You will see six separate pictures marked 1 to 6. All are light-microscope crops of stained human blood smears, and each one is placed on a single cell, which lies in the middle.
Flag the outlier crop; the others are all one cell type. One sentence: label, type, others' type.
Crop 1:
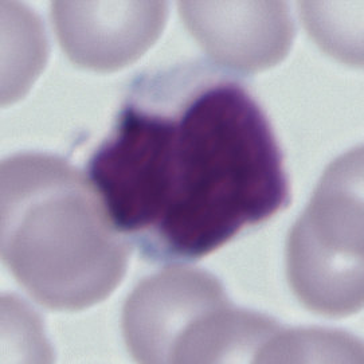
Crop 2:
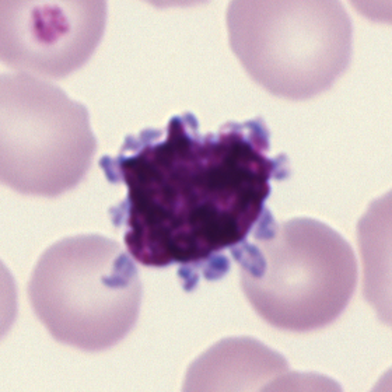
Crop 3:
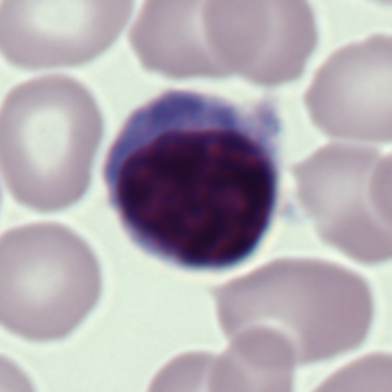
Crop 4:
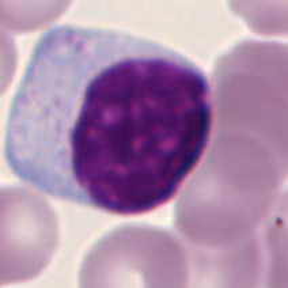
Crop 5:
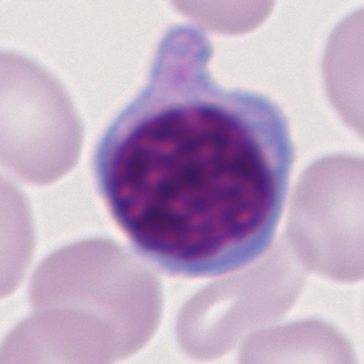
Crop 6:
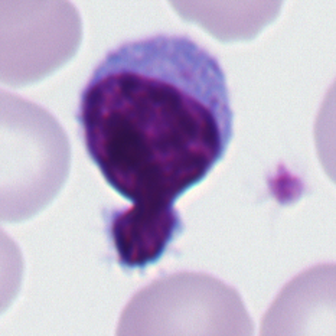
The single exception is crop 4, which is a large granular lymphocyte; all other crops show typical lymphocytes.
